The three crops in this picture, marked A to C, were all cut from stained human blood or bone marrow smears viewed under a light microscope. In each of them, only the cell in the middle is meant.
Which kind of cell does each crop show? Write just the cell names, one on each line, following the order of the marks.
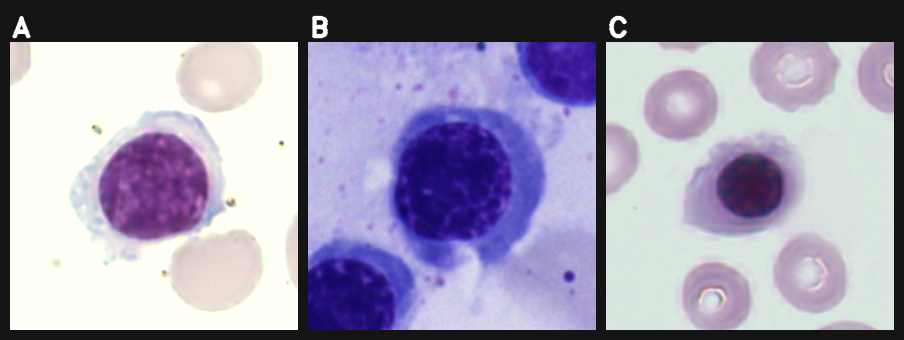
plasma cell
normoblast
normoblast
